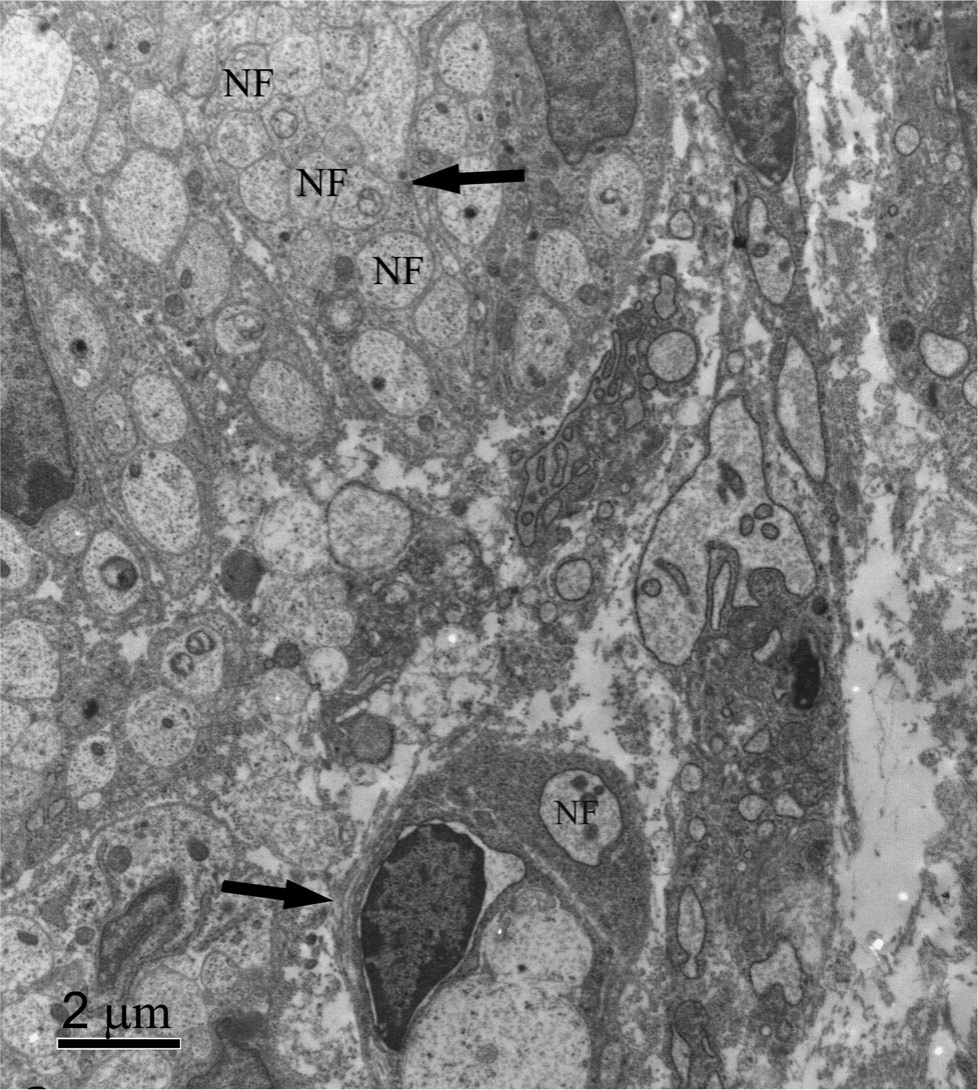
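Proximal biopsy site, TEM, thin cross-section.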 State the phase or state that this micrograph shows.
Unmyelinated.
